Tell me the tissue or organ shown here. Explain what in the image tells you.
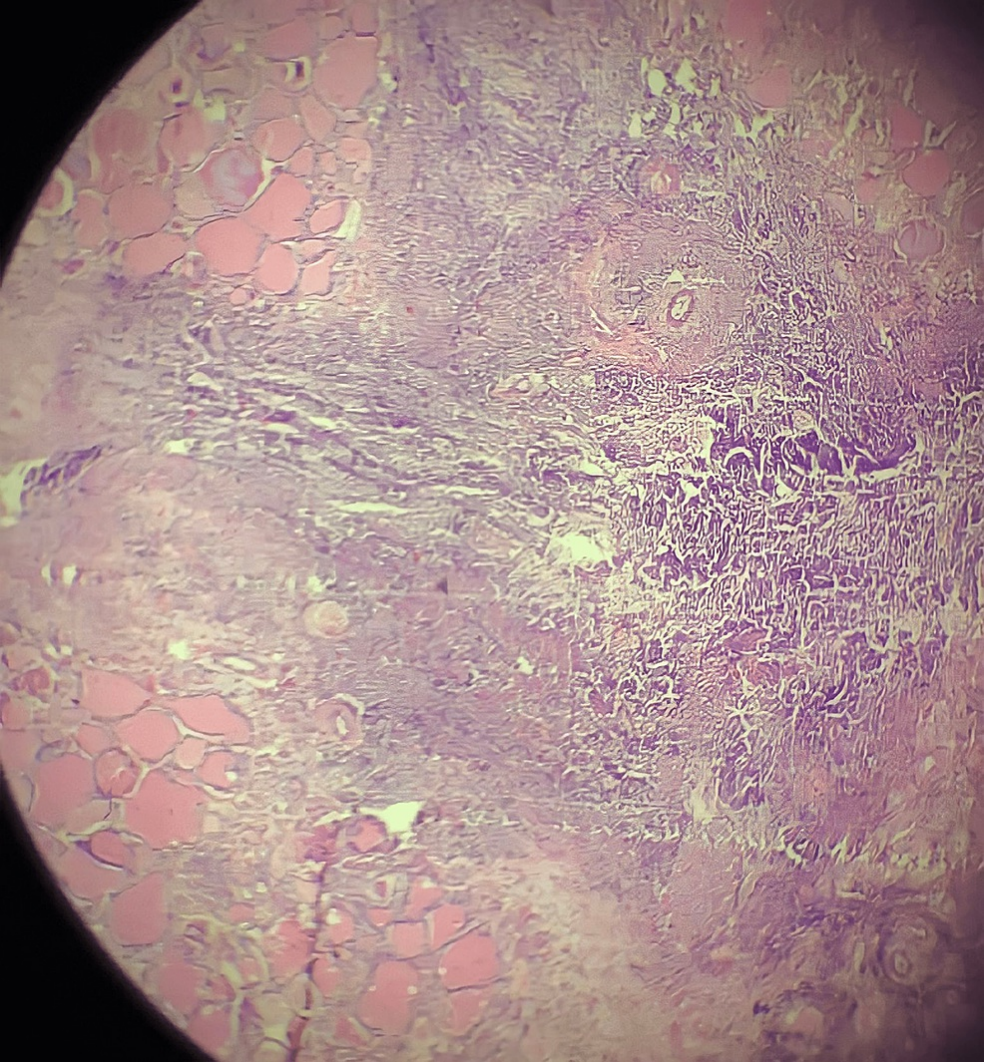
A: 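Round follicles of varying size filled with homogeneous pink material lie at the upper and lower left. The follicles are lined by thin rims of flattened cells.
Hence: thyroid tissue.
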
